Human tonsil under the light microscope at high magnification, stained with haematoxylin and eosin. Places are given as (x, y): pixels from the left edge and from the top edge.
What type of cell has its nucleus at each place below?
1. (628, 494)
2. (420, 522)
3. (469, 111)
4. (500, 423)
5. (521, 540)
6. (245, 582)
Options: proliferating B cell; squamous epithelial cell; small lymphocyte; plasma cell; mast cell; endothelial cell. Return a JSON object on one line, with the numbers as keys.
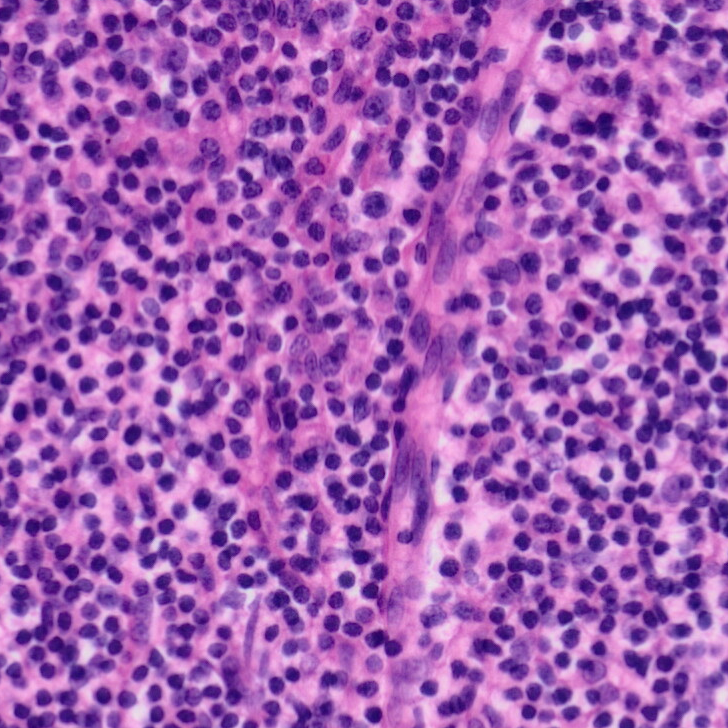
{"1": "small lymphocyte", "2": "endothelial cell", "3": "endothelial cell", "4": "small lymphocyte", "5": "small lymphocyte", "6": "small lymphocyte"}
